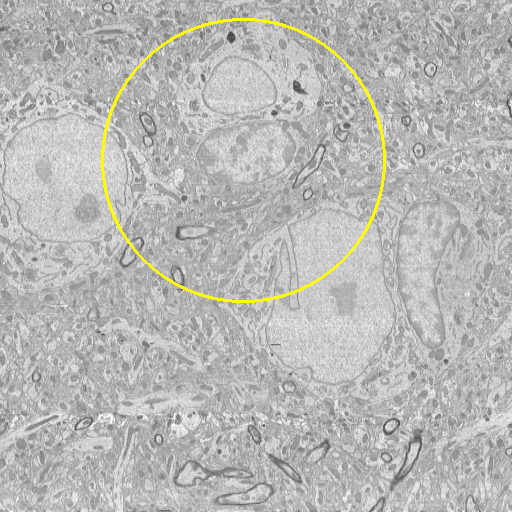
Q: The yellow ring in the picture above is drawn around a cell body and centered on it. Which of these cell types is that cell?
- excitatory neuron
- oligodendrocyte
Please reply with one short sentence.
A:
The cell body at the ring's center belongs to an oligodendrocyte.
